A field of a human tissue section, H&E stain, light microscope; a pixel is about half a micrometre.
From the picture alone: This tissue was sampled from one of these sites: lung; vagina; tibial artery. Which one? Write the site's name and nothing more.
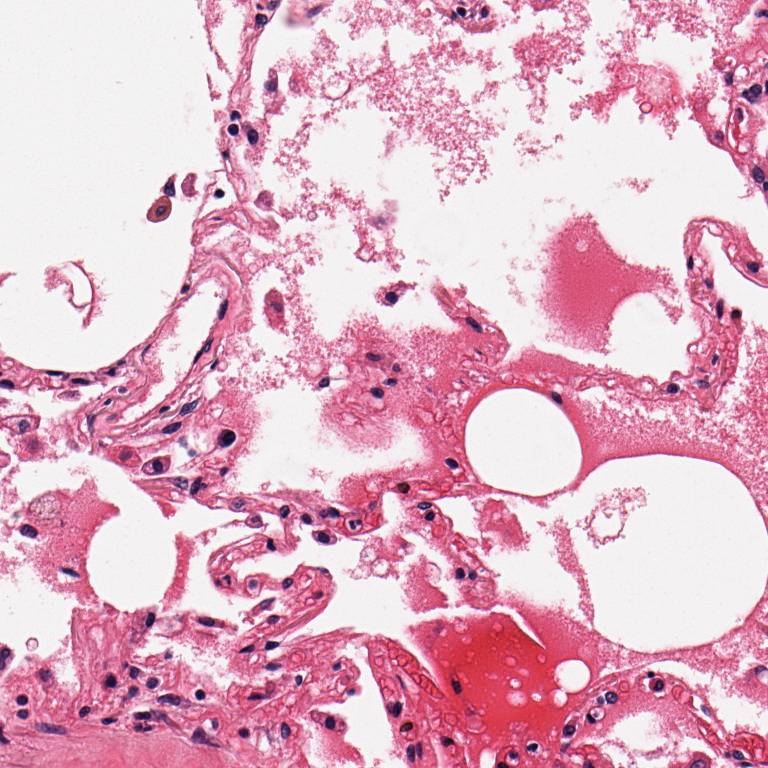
lung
